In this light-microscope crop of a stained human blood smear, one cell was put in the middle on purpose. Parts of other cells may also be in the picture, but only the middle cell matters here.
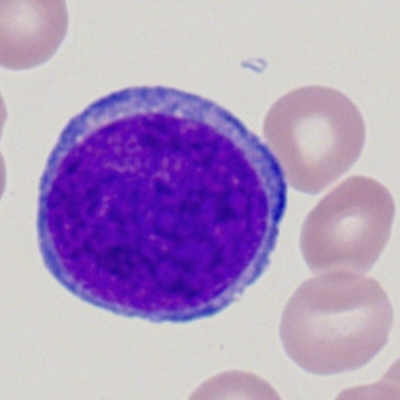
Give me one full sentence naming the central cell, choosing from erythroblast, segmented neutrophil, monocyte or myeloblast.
Located at the centre of the crop is a myeloblast.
